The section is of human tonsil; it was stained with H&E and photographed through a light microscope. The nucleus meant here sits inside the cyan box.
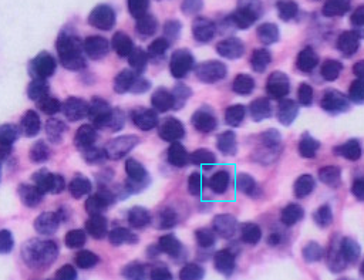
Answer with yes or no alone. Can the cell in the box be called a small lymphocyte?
yes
